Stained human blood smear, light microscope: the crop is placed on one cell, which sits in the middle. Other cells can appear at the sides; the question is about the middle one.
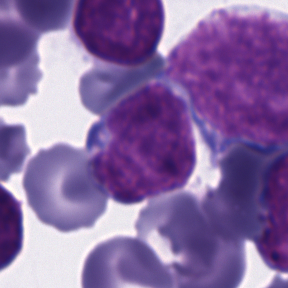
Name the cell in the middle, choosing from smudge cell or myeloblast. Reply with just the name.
myeloblast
